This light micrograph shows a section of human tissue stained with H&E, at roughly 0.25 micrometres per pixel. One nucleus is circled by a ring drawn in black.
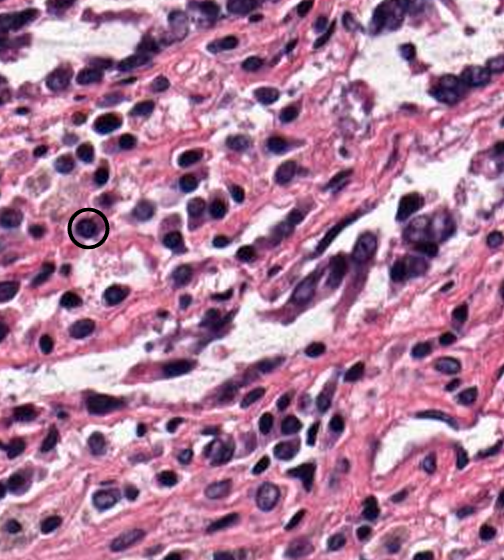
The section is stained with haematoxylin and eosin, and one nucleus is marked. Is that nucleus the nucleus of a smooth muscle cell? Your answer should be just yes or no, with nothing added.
no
